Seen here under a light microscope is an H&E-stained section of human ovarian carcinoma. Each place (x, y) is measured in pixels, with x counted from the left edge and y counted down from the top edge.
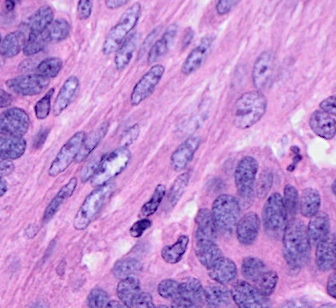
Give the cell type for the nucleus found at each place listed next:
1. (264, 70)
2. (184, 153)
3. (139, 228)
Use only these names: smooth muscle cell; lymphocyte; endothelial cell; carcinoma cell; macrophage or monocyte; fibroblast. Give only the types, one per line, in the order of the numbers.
fibroblast
fibroblast
lymphocyte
